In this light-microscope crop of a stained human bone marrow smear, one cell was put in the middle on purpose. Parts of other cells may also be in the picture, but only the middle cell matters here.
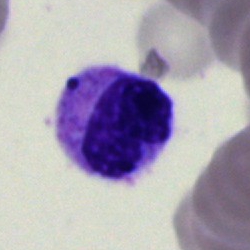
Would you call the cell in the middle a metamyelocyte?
yes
